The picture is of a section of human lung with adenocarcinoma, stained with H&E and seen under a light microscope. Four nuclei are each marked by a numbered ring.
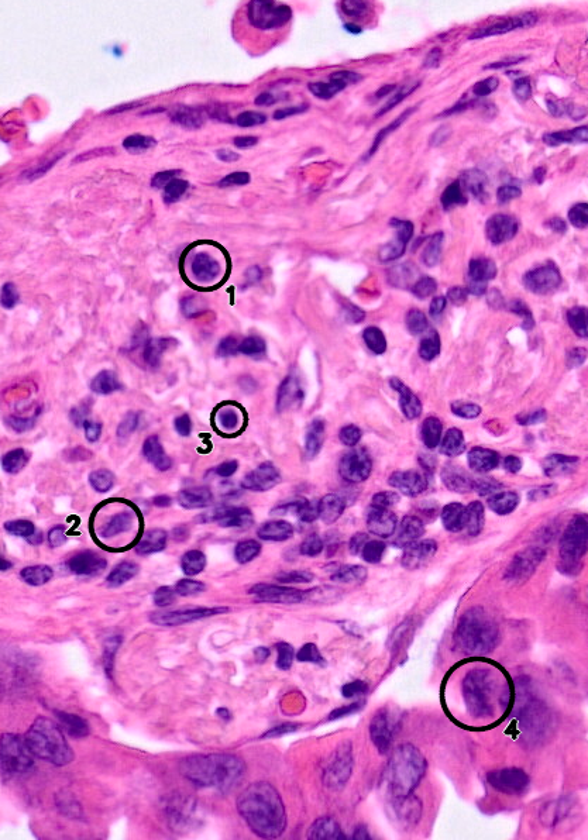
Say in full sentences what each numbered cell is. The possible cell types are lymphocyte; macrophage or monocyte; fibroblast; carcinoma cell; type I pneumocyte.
Cell 1 is a lymphocyte, cell 2 is a lymphocyte, cell 3 is a lymphocyte and cell 4 is a carcinoma cell.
